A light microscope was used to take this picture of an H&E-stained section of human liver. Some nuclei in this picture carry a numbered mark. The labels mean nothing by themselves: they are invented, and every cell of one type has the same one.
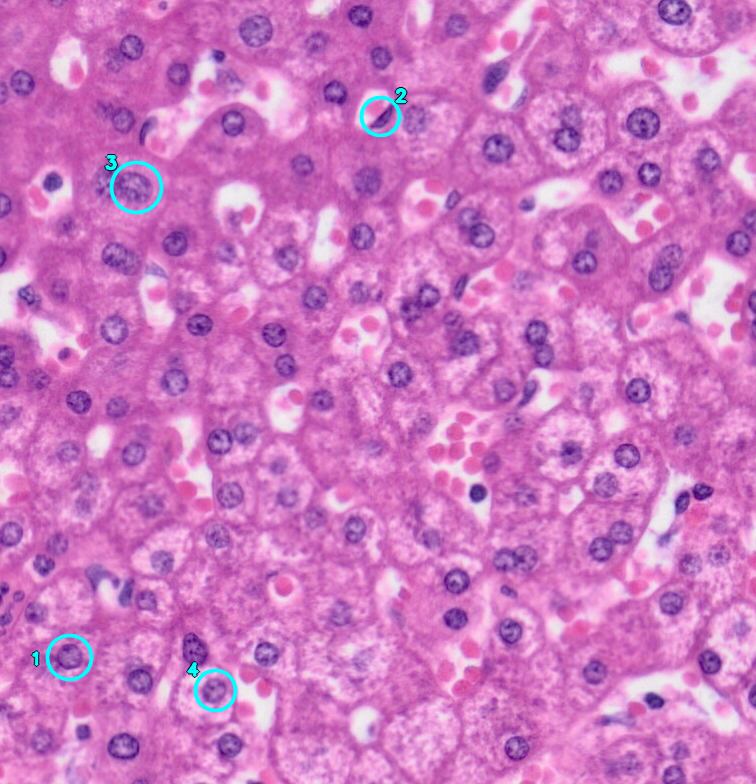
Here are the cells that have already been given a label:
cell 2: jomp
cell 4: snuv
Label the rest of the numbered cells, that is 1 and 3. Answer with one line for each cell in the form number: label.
1: snuv
3: snuv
